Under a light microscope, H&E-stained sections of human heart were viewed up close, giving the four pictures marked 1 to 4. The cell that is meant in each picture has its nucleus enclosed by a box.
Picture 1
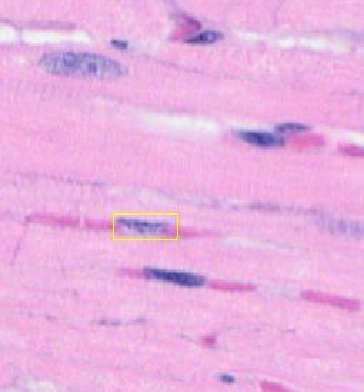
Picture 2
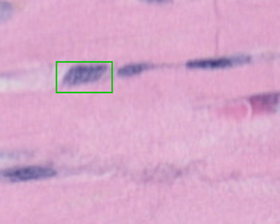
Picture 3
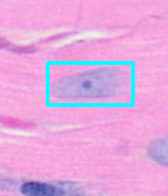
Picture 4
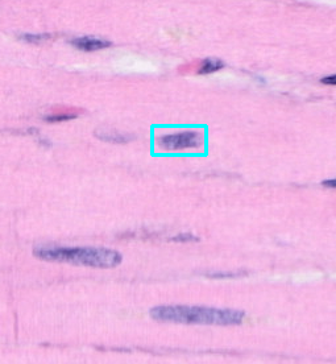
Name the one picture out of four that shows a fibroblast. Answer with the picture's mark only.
2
